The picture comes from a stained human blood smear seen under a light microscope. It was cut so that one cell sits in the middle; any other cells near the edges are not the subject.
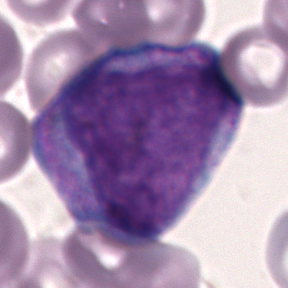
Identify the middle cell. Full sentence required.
The cell of interest, in the center, is a promyelocyte.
